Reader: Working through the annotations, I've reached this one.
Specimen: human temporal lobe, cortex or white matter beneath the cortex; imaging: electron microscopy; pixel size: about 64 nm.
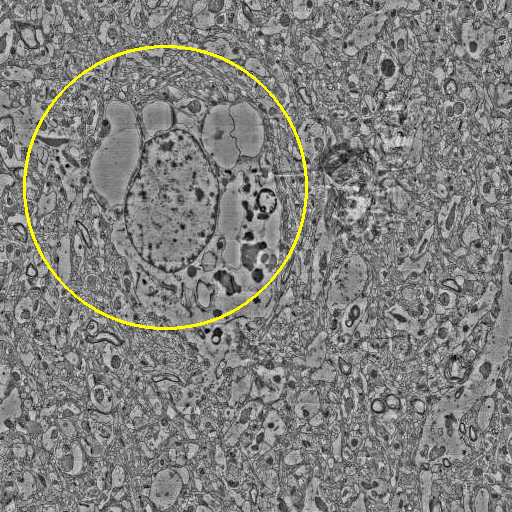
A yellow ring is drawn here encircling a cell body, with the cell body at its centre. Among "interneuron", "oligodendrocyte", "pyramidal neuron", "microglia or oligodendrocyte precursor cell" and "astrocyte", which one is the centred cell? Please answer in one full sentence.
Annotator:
The cell body at the centre of the yellow ring in this image belongs to an astrocyte.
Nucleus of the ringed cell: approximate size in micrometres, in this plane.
Clearly longer than it is wide in this plane, the nucleus measures roughly 9 by 6 micrometres.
